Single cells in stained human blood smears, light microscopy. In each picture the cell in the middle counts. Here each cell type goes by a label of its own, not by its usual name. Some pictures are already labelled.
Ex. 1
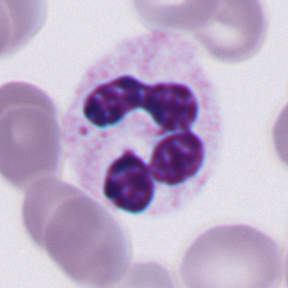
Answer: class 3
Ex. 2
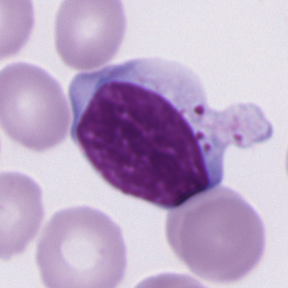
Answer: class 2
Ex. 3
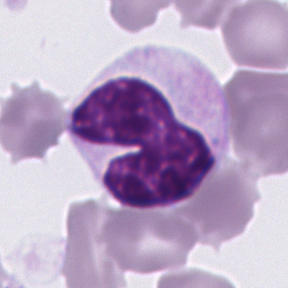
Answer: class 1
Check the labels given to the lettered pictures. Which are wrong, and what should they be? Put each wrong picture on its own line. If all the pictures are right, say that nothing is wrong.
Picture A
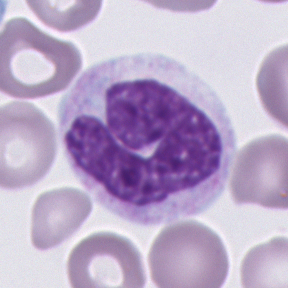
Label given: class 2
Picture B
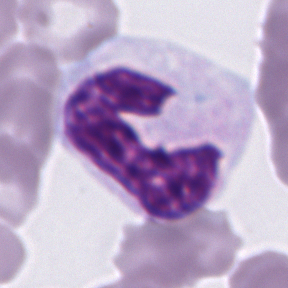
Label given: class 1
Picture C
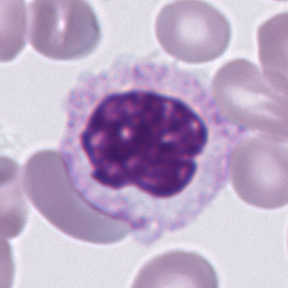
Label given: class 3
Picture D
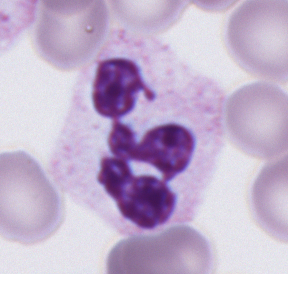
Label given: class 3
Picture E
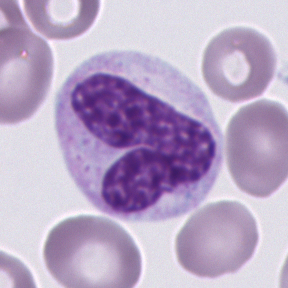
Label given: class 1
A: not class 2 but class 1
